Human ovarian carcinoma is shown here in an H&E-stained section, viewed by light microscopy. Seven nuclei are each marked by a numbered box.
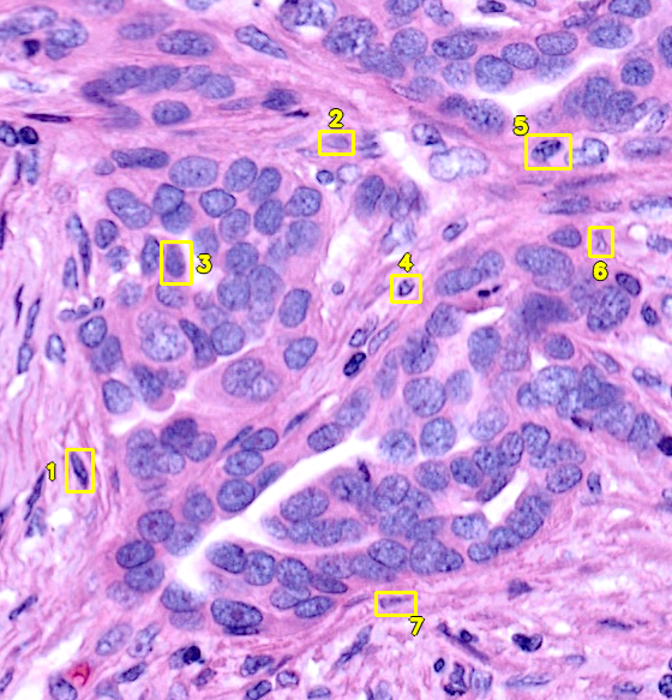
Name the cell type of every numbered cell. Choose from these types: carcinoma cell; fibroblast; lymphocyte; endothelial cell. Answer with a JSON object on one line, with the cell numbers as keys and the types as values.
{"1": "fibroblast", "2": "fibroblast", "3": "carcinoma cell", "4": "lymphocyte", "5": "lymphocyte", "6": "fibroblast", "7": "fibroblast"}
